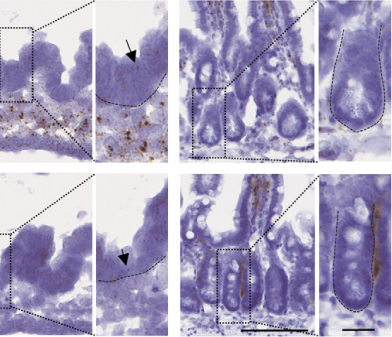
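These are sections of intestine, with a lining epithelium of tall, closely packed cells whose blue nuclei form a row, resting on looser underlying tissue. Brown dots are scattered mostly in the tissue beneath the epithelium, with fewer dots in the epithelial cells themselves.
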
